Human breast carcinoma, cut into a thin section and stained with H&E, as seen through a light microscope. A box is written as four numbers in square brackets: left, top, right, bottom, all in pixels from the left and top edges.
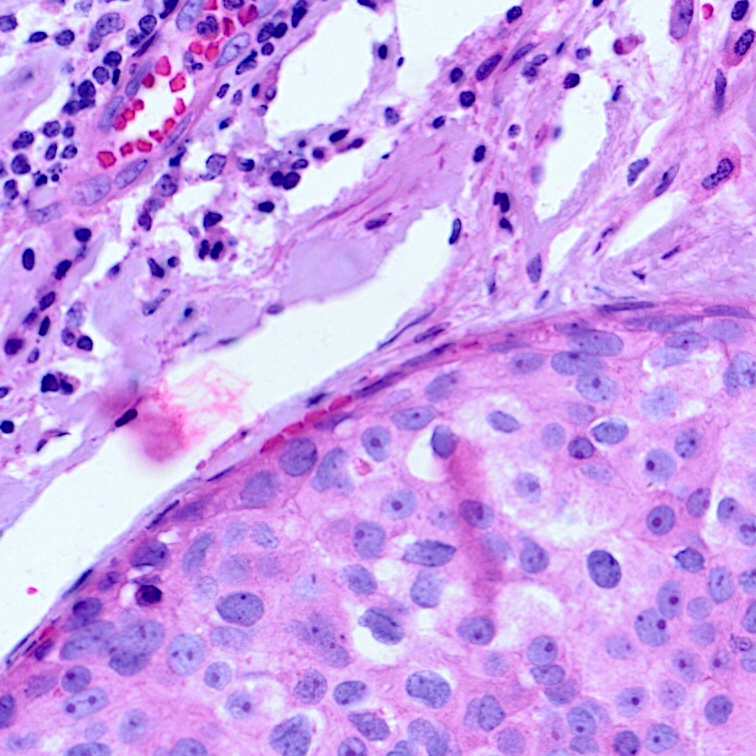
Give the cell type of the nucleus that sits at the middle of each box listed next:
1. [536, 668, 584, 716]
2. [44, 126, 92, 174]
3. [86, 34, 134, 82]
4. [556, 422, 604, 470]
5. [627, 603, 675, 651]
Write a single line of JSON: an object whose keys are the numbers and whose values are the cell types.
{"1": "carcinoma cell", "2": "lymphocyte", "3": "lymphocyte", "4": "carcinoma cell", "5": "carcinoma cell"}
